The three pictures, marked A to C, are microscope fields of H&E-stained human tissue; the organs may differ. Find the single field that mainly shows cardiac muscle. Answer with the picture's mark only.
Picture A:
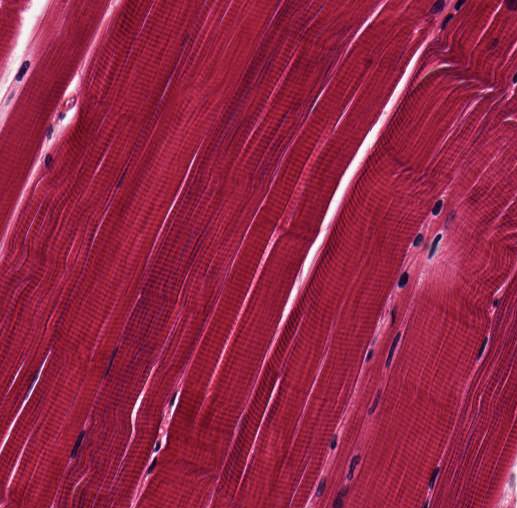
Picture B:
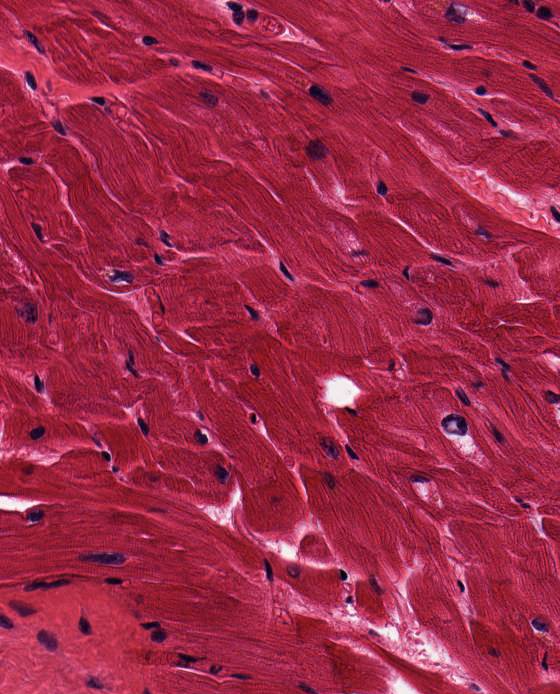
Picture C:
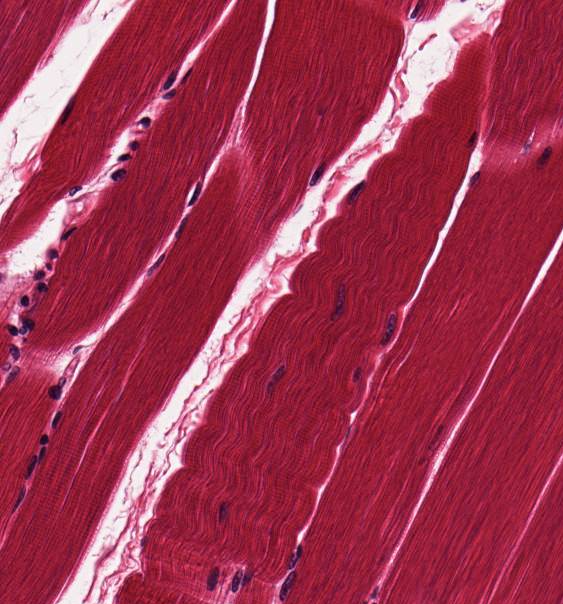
B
